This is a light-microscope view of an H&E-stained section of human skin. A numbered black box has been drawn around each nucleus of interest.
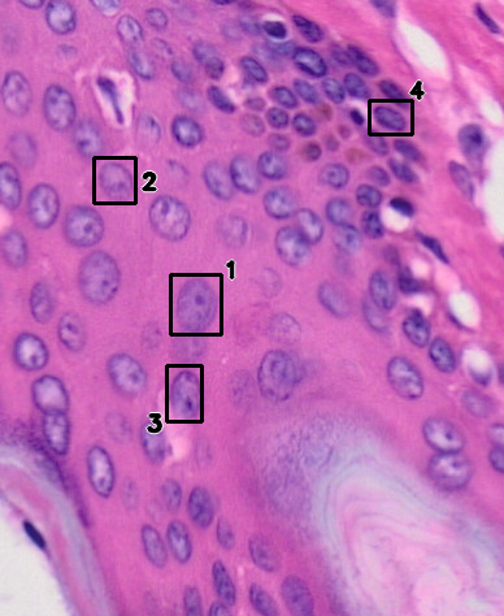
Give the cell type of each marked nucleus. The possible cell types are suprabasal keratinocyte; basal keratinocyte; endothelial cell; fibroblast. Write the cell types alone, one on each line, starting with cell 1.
suprabasal keratinocyte
suprabasal keratinocyte
suprabasal keratinocyte
basal keratinocyte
